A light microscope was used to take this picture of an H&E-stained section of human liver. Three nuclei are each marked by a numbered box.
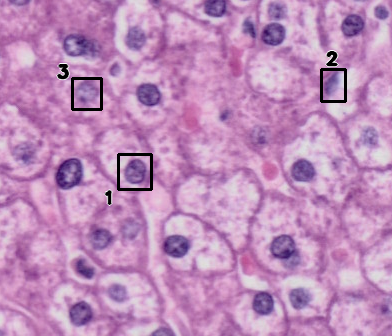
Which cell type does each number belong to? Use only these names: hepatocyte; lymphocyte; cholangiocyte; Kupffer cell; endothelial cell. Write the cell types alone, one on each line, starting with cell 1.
hepatocyte
endothelial cell
hepatocyte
